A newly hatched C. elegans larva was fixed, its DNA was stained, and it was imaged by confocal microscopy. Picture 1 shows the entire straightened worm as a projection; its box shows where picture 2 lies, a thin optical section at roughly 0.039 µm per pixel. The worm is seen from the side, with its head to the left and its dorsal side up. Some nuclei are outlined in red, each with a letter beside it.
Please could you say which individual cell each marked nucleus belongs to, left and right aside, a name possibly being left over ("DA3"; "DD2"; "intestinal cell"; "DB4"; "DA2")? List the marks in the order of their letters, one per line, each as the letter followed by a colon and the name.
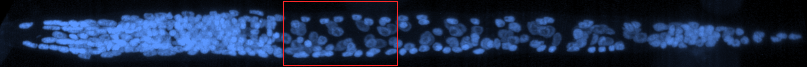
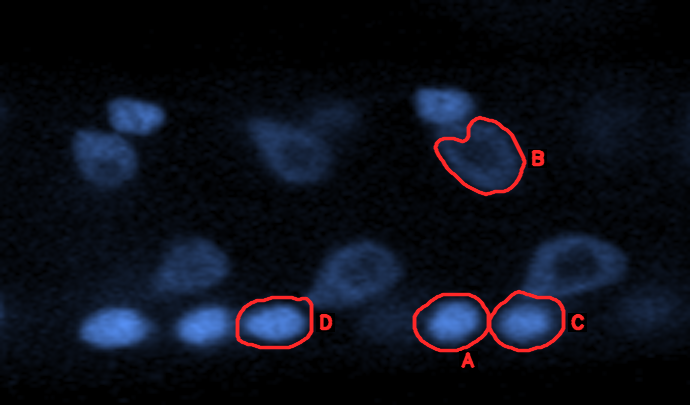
A: DA3
B: intestinal cell
C: DB4
D: DD2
